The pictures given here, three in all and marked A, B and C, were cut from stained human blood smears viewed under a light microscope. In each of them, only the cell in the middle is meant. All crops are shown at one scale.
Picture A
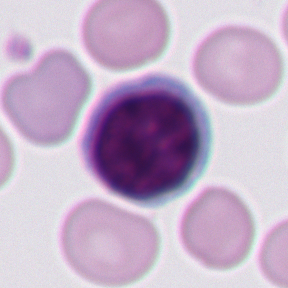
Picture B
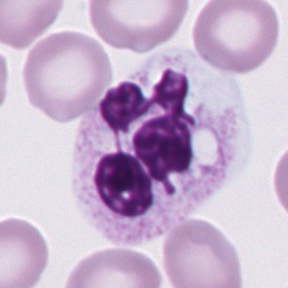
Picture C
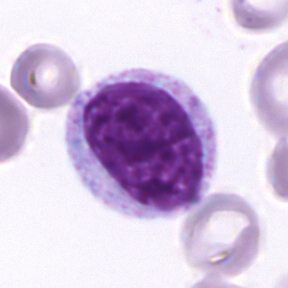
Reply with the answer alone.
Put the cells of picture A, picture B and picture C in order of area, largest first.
B, C, A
